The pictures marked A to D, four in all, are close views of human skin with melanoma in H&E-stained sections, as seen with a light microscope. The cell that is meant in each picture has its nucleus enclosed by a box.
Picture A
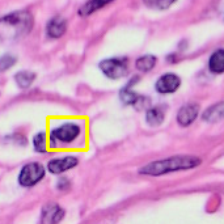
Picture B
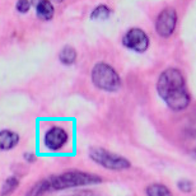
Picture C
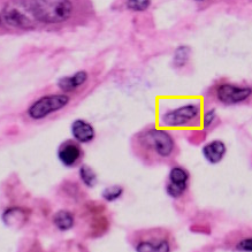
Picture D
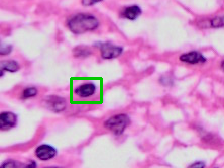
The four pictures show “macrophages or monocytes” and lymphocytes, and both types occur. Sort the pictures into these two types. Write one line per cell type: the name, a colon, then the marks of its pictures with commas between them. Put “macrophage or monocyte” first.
macrophage or monocyte: C
lymphocyte: A, B, D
